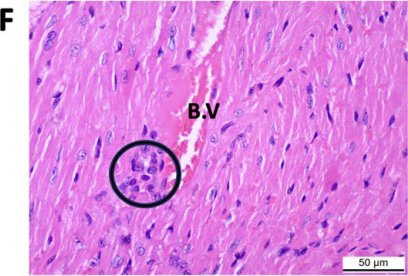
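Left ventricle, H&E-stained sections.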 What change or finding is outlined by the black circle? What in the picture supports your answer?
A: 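Small group of a few rounded dark nuclei between fibers. On this evidence: mild cellular infiltrates.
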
